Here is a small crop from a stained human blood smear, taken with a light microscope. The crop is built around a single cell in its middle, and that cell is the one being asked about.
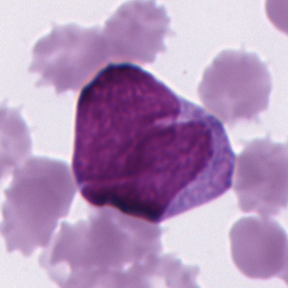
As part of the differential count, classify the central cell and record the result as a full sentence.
The cell sitting right in the middle is a myeloblast.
